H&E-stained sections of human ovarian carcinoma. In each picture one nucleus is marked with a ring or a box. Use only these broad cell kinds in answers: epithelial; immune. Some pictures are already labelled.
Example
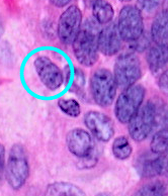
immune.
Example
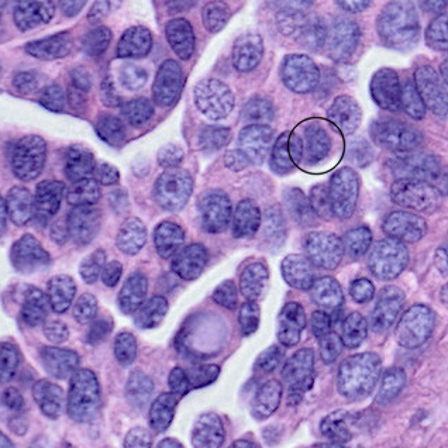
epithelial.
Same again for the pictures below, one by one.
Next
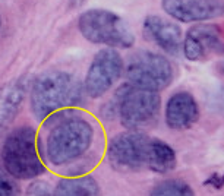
epithelial.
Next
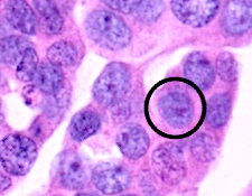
epithelial.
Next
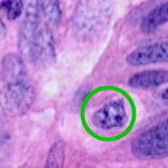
immune.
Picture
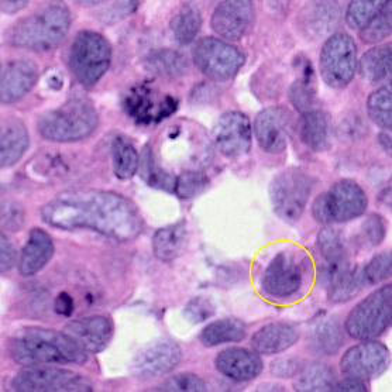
epithelial.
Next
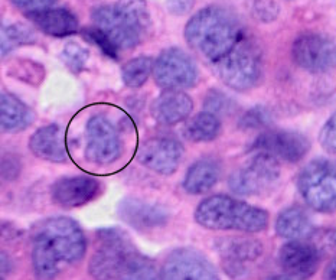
epithelial.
